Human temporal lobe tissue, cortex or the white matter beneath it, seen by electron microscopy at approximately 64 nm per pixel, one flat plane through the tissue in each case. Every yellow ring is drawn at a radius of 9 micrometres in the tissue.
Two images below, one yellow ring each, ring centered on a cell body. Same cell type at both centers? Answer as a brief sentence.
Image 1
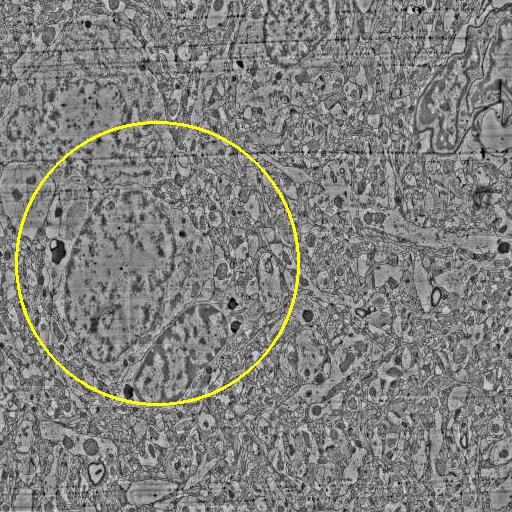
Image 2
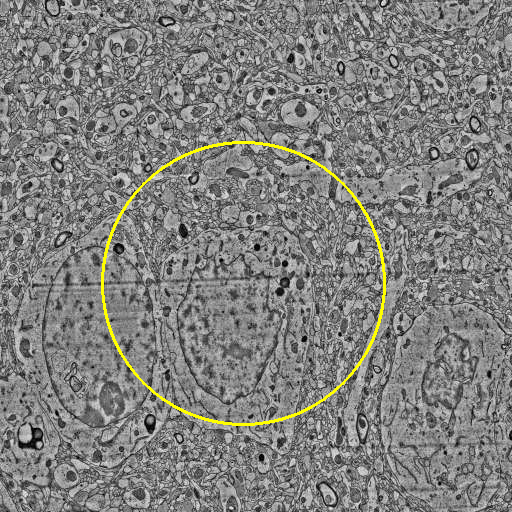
No, the cells are of two separate types.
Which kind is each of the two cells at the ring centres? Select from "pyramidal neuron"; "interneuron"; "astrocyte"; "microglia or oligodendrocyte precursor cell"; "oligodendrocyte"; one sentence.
The cell at the centre of the ring is an interneuron in the first picture and a pyramidal neuron in the second.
